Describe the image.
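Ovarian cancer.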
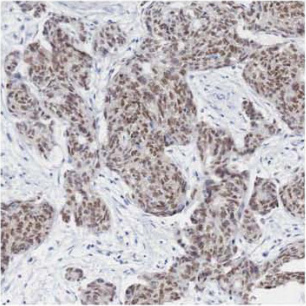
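The tumor cells have oval, closely packed nuclei, most of which are stained brown. The stroma between the nests is paler, with spindle-shaped cells whose nuclei are largely blue. The nests have sharp borders against the surrounding stroma.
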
